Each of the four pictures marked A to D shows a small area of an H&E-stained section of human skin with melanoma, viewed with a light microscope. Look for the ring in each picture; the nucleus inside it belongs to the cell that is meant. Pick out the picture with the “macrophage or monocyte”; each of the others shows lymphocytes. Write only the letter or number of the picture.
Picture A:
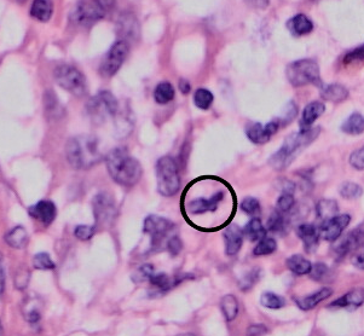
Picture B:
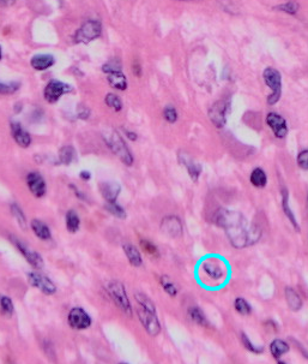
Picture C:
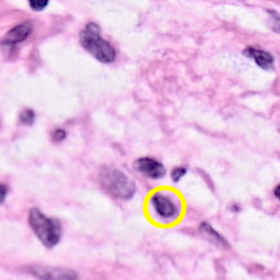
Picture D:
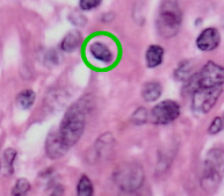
C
